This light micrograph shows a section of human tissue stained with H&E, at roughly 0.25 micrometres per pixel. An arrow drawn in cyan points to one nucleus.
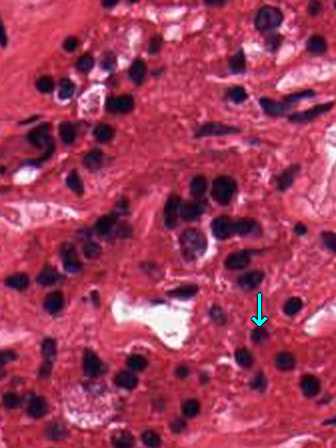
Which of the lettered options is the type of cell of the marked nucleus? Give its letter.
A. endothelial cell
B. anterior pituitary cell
B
